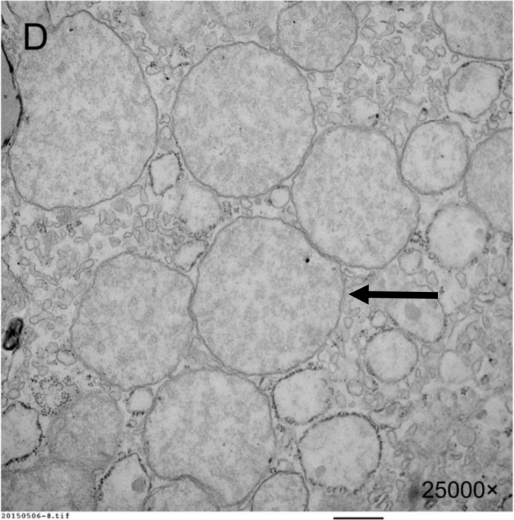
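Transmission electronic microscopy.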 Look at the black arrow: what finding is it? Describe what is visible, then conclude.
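Swollen mitochondria. The arrow points to a large rounded membrane-bound organelle. Its matrix is pale and finely granular. Few or no distinct cristae are visible inside it. Many similar enlarged rounded organelles fill the field.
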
